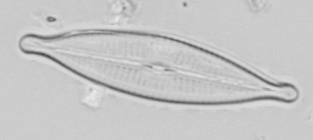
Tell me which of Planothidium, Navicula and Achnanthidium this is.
The picture shows Navicula.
